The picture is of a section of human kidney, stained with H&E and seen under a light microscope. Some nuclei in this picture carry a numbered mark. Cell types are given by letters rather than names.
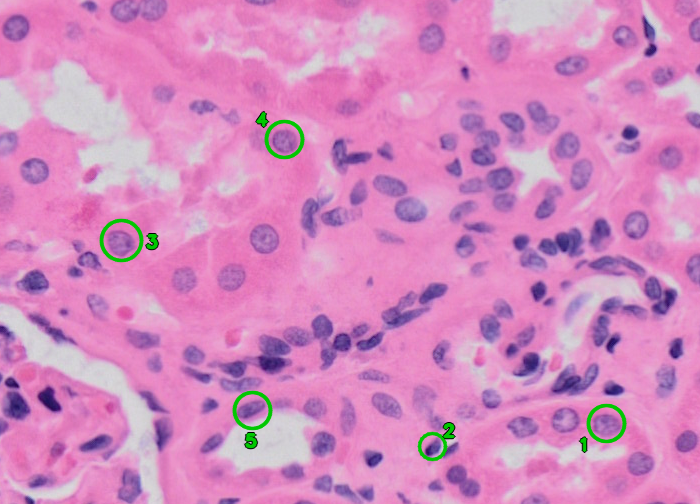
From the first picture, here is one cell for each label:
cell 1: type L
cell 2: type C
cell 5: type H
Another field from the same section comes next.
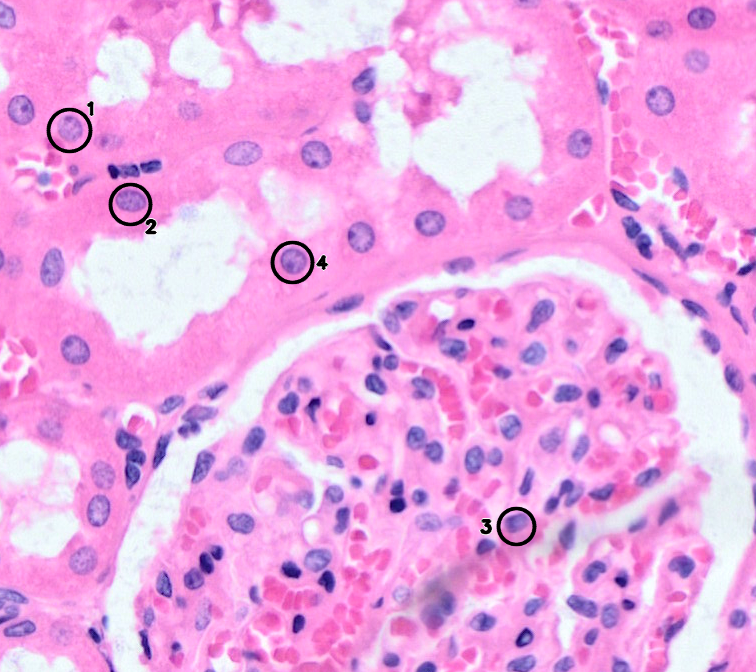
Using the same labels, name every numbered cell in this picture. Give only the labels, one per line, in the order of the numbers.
type L
type L
type C
type L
